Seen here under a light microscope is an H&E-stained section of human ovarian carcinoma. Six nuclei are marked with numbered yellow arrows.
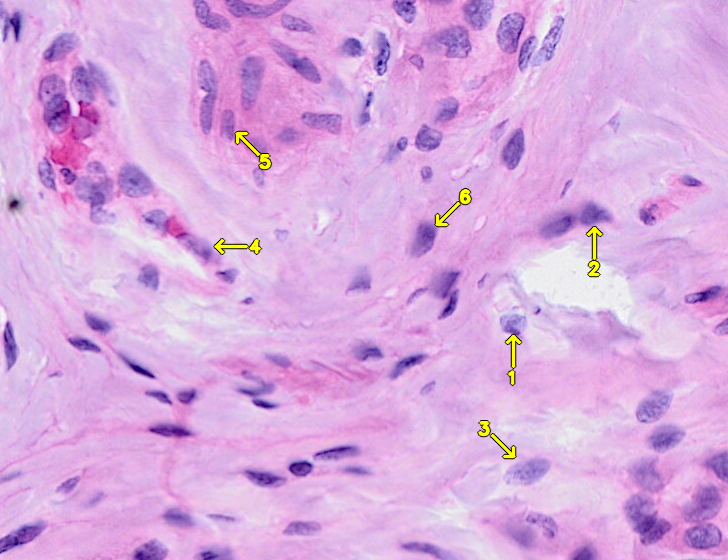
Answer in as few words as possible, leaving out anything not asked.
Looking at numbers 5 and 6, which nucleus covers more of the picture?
6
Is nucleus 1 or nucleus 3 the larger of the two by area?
3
